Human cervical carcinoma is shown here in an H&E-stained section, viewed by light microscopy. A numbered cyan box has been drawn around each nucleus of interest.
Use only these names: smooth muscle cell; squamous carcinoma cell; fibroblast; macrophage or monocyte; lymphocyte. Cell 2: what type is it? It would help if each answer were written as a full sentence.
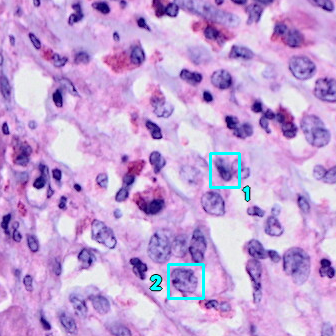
Among the marked nuclei, number 2 belongs to a macrophage or monocyte.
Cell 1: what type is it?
The cell referred to as 1 is a lymphocyte.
